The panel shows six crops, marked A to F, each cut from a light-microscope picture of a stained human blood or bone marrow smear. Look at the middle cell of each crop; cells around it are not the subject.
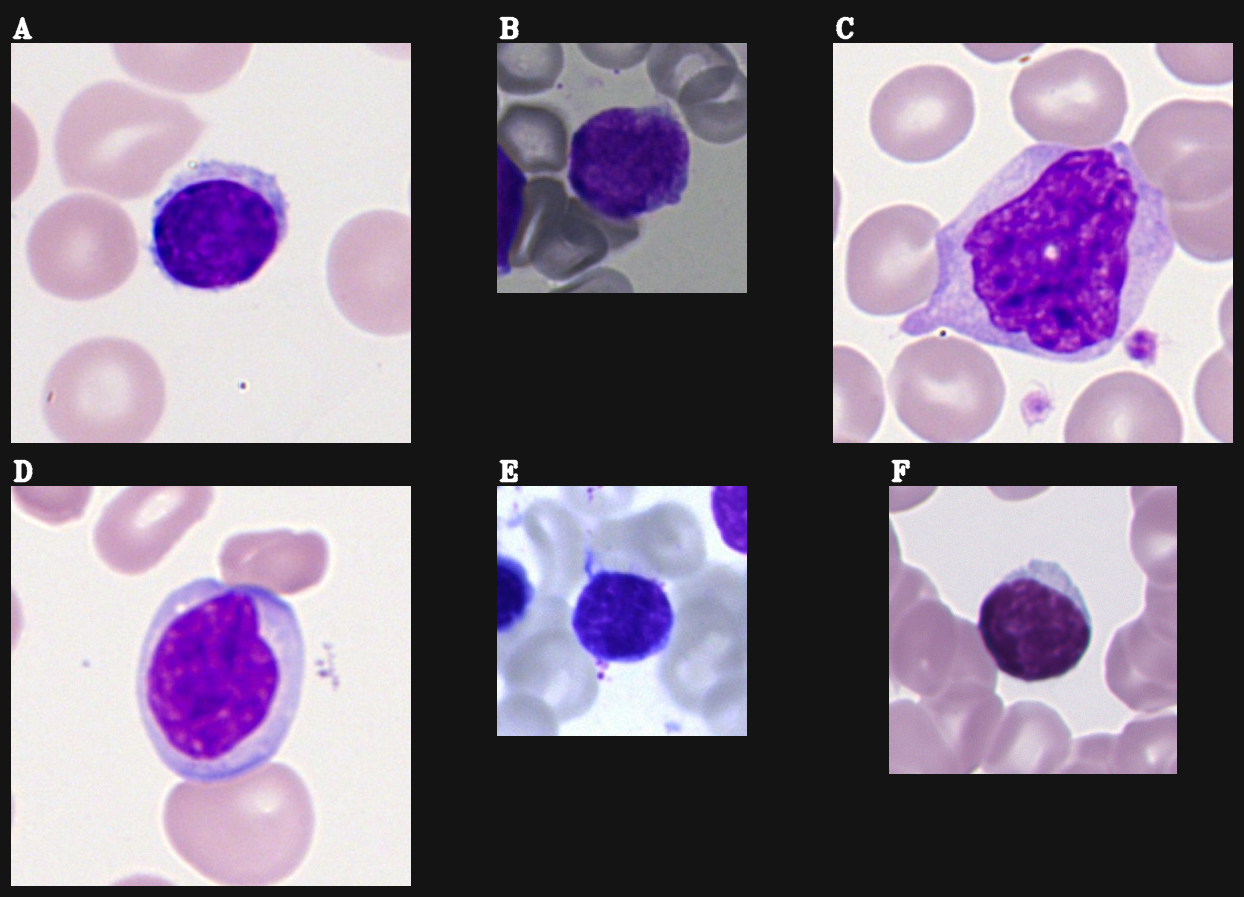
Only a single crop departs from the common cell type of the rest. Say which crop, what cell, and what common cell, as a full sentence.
The odd one out is crop C, a monocyte, and all other crops show lymphocytes.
